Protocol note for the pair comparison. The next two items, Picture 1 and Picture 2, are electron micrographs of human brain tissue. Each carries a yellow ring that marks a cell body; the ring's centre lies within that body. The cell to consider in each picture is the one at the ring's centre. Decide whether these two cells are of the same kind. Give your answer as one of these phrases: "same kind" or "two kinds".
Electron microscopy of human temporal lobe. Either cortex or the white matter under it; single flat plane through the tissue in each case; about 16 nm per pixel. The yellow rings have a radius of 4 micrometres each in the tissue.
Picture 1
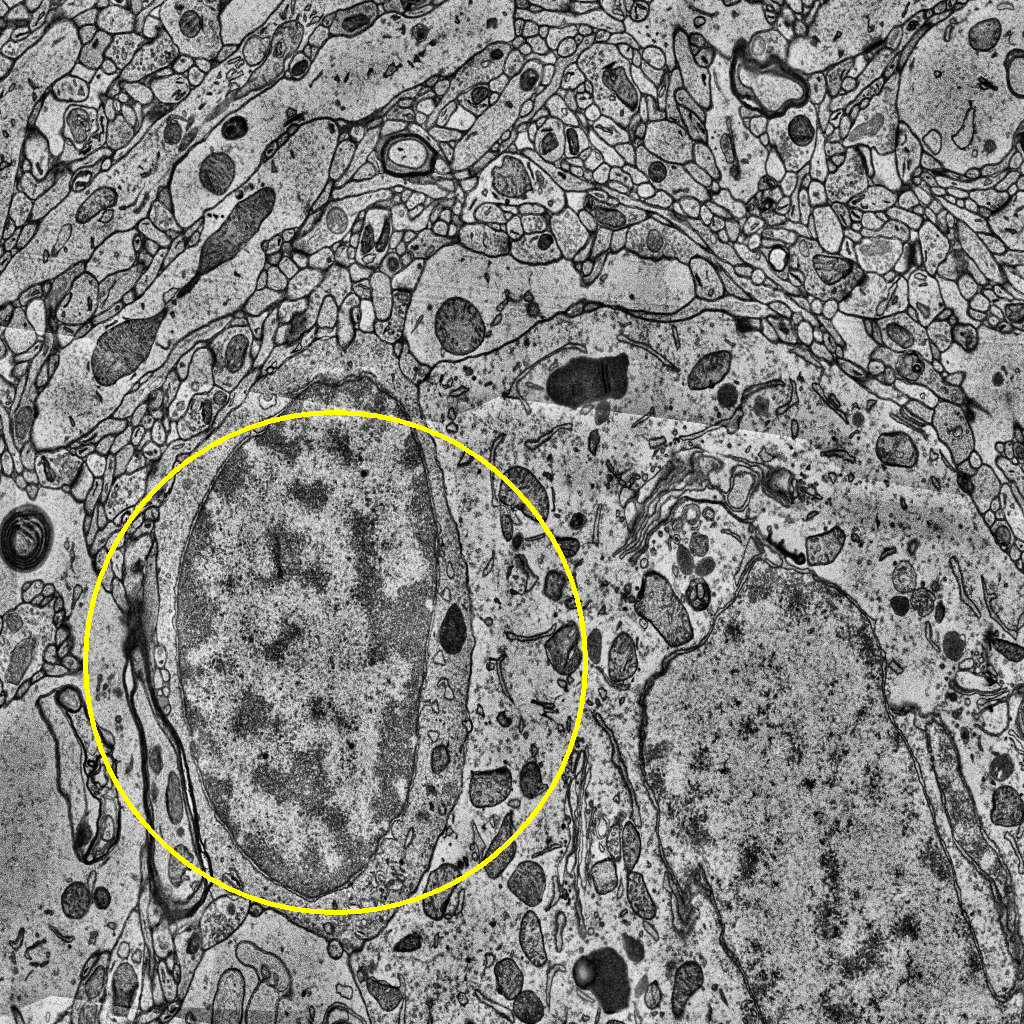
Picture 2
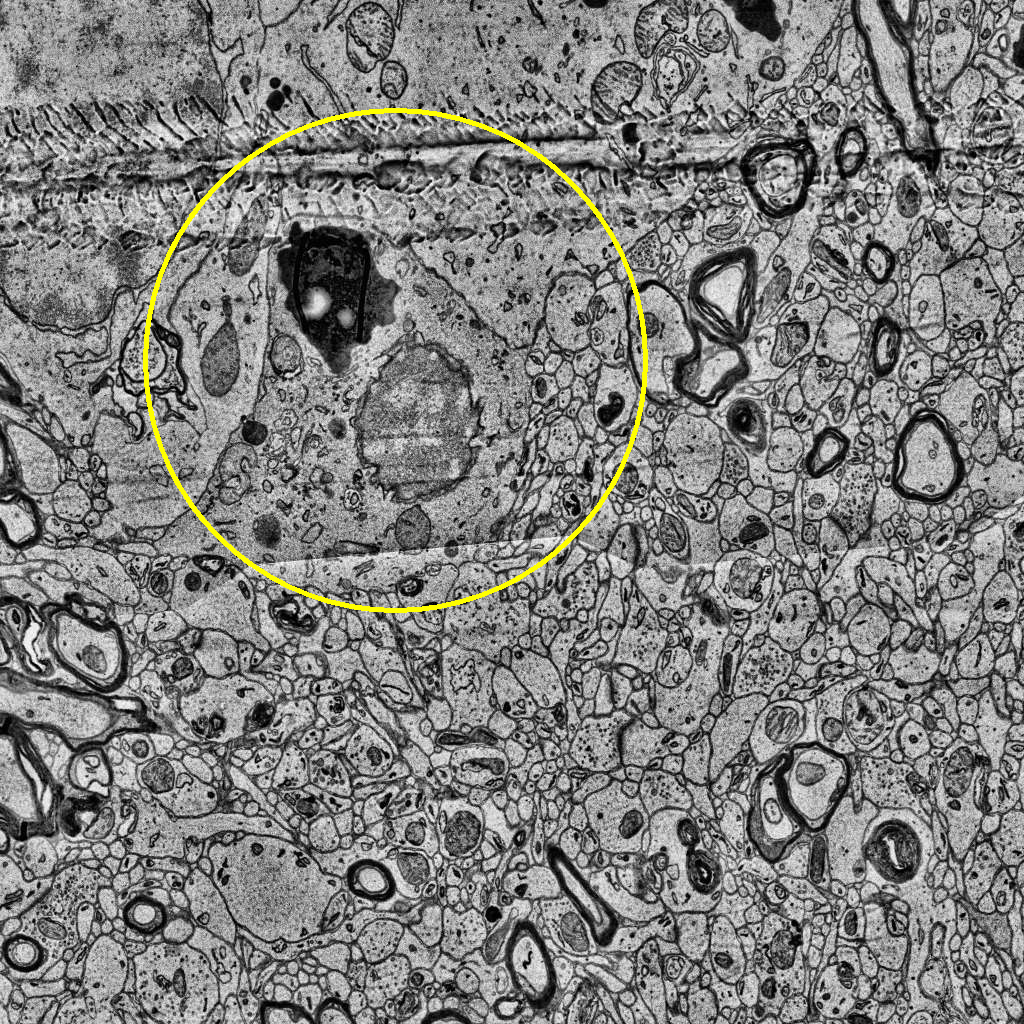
same kind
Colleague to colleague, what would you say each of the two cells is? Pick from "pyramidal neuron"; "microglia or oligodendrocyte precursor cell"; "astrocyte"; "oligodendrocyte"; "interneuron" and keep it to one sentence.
Each cell at the centre of a ring is an oligodendrocyte.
